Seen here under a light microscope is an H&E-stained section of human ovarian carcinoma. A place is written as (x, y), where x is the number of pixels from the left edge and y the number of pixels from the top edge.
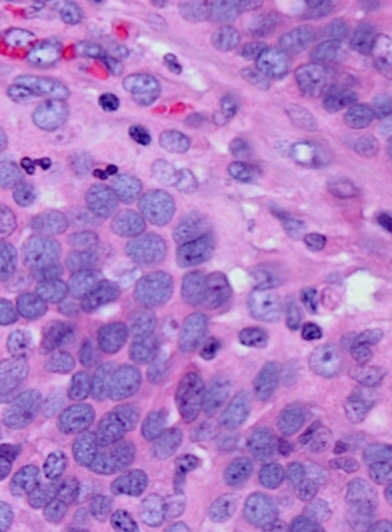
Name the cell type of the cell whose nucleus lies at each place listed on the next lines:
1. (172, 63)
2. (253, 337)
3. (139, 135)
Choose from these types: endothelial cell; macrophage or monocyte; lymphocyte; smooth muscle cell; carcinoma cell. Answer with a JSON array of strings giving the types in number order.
["lymphocyte", "macrophage or monocyte", "lymphocyte"]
